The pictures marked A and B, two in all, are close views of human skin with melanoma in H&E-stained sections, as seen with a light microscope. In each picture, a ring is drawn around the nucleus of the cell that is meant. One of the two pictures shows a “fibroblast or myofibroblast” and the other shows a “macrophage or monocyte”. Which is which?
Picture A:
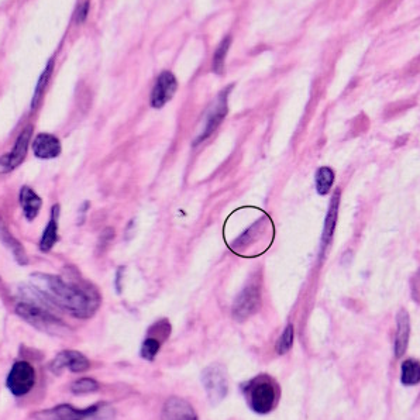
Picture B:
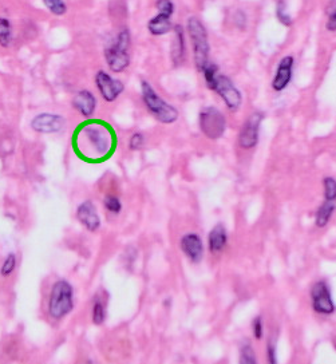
A: fibroblast or myofibroblast
B: macrophage or monocyte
